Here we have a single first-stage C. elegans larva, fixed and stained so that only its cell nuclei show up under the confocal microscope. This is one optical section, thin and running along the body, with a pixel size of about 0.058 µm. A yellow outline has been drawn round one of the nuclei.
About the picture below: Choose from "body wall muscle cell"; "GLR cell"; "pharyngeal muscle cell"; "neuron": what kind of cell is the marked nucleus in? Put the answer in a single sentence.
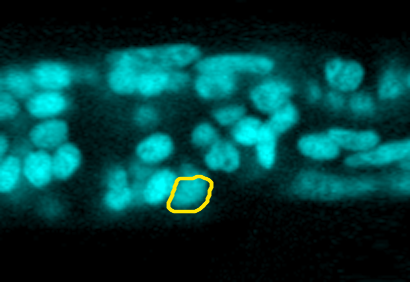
This nucleus is from a neuron.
